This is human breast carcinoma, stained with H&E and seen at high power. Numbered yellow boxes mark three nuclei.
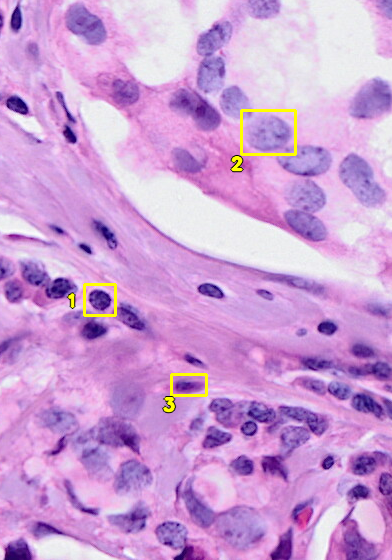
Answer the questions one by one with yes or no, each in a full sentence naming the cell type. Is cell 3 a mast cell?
Yes, number 3 corresponds to a mast cell.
